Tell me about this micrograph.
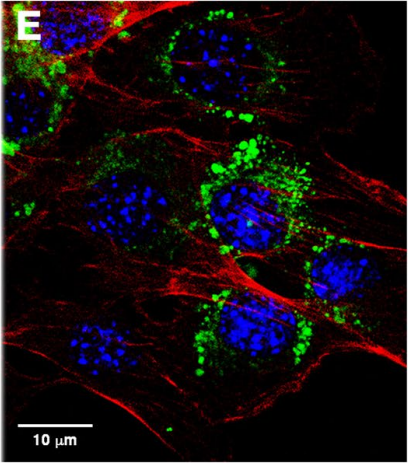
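Cultured cells are seen at high magnification, each with a large round to oval blue nucleus whose stain is speckled, with brighter blue spots scattered through it. Fine red filaments outline the cell borders and run as thin strands across the cytoplasm between neighbouring cells. Around most nuclei the cytoplasm is crowded with green puncta, ranging from fine dots to larger round droplets, gathered mainly in a ring close to the nucleus rather than at the cell edges.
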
